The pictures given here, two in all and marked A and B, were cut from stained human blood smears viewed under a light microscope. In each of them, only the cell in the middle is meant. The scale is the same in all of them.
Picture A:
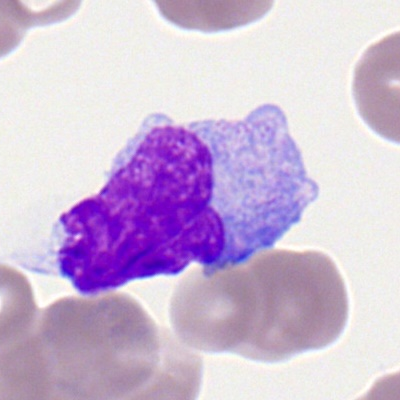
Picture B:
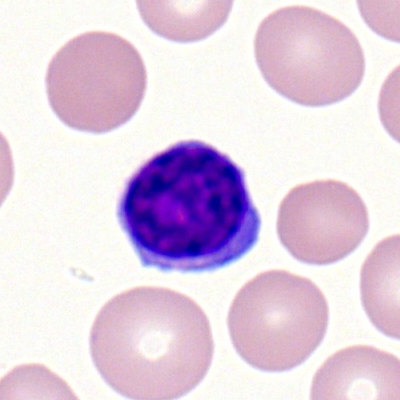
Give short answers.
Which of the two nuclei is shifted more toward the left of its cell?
A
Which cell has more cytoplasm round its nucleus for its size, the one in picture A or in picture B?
A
